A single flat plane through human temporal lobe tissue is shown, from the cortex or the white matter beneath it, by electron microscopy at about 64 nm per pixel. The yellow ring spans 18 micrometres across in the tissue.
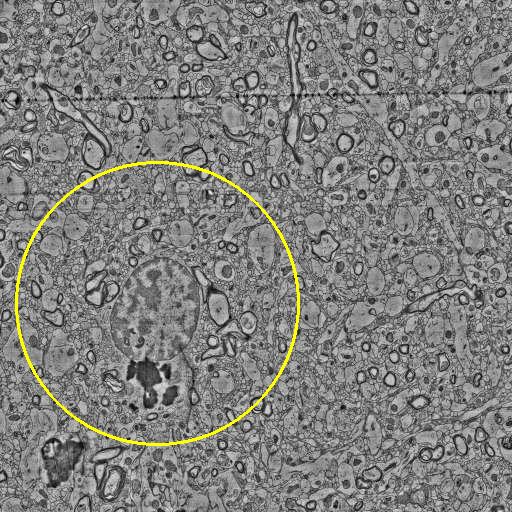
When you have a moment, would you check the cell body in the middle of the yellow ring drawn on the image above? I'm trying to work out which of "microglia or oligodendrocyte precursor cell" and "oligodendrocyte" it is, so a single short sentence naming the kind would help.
This cell body belongs to an oligodendrocyte.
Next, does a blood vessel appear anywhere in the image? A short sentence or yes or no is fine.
No, no vessel shows anywhere in the image.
